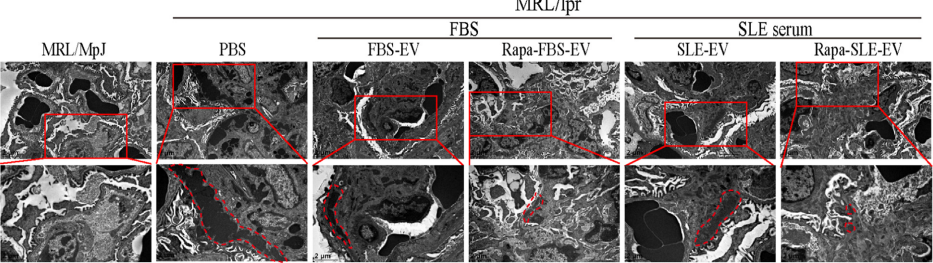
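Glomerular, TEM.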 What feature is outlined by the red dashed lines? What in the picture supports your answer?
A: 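Red dashed lines in the enlarged lower images enclose dark, dense material. The enclosed material is darker than the surrounding membranes and cytoplasm. That points to this answer: electron-dense deposits.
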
